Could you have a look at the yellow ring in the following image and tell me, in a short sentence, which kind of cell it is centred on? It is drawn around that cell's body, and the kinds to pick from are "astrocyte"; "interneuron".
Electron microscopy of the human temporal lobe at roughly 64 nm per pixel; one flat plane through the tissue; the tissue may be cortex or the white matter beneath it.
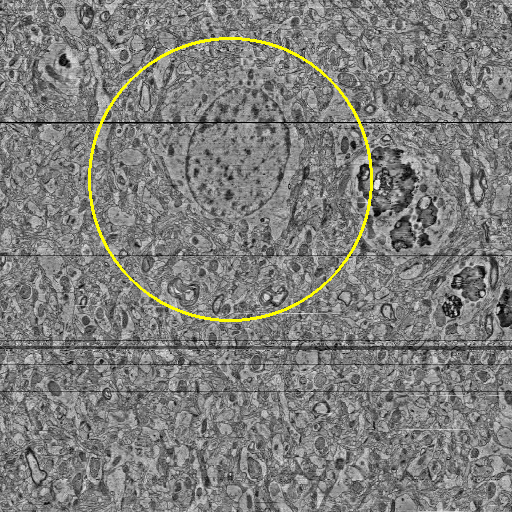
The ring is centred on the body of an astrocyte.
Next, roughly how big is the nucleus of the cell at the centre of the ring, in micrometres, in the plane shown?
About 8 by 7 micrometers, in this plane.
